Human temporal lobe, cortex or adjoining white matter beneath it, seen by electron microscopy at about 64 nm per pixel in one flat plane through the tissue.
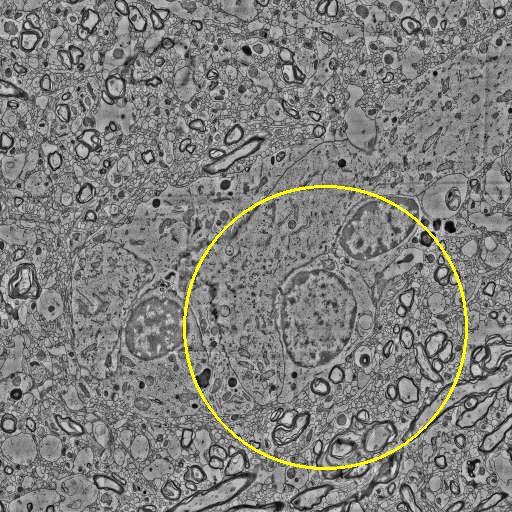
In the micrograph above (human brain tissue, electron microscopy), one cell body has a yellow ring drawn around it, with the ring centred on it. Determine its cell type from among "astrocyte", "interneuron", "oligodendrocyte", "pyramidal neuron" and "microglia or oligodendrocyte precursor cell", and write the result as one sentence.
The cell whose body is ringed is a microglial cell or oligodendrocyte precursor cell.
